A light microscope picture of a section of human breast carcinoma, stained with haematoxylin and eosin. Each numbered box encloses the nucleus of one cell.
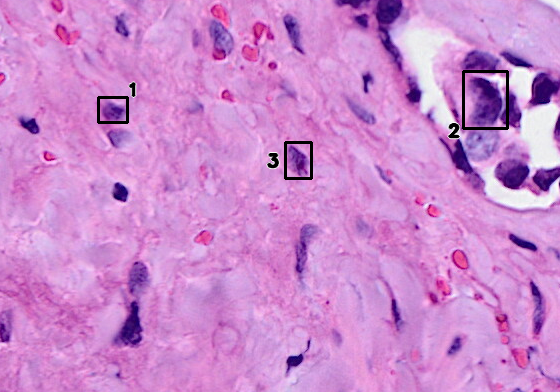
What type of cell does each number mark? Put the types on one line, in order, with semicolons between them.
fibroblast; carcinoma cell; fibroblast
